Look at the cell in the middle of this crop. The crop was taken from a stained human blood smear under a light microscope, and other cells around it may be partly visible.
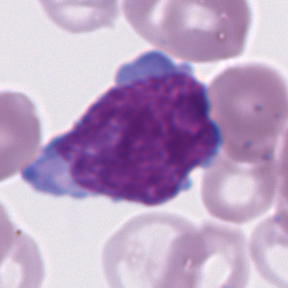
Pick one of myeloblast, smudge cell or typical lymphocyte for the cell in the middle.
myeloblast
